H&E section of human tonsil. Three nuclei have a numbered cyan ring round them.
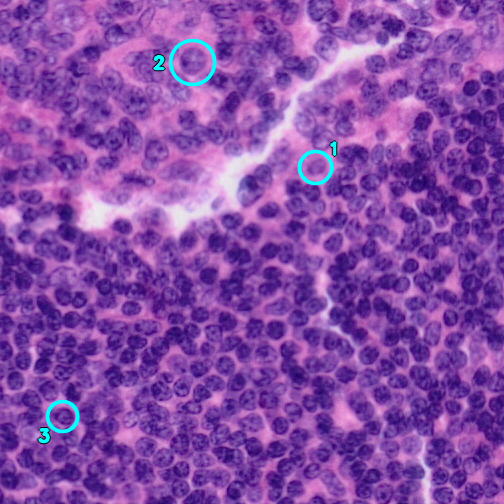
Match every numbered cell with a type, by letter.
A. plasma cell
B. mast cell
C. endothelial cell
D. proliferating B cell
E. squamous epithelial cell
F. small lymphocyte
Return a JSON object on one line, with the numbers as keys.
{"1": "D", "2": "D", "3": "F"}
